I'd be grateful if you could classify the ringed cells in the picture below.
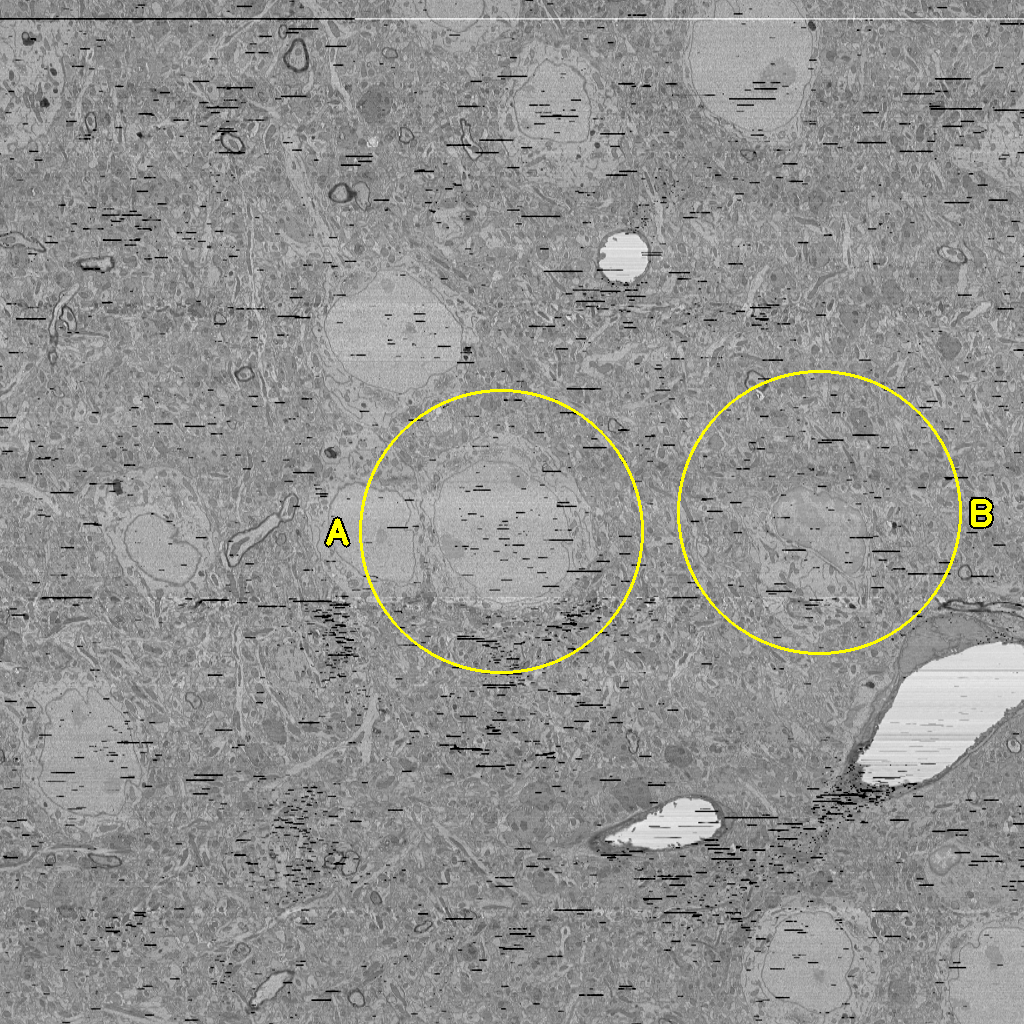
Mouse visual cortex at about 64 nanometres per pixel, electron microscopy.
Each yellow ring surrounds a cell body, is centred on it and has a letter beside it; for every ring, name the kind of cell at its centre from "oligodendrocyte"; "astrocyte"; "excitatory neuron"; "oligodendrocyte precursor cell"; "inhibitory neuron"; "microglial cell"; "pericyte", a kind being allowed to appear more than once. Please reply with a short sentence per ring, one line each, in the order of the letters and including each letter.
In ring A we have an excitatory neuron.
In ring B we have a microglial cell.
